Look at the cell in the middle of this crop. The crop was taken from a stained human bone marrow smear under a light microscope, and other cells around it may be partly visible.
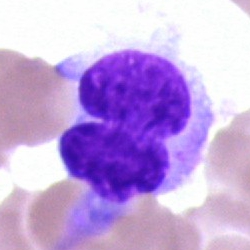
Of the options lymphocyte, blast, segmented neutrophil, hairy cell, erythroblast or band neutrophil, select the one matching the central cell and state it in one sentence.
The cell shown in the center of this light-microscope crop is a hairy cell.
